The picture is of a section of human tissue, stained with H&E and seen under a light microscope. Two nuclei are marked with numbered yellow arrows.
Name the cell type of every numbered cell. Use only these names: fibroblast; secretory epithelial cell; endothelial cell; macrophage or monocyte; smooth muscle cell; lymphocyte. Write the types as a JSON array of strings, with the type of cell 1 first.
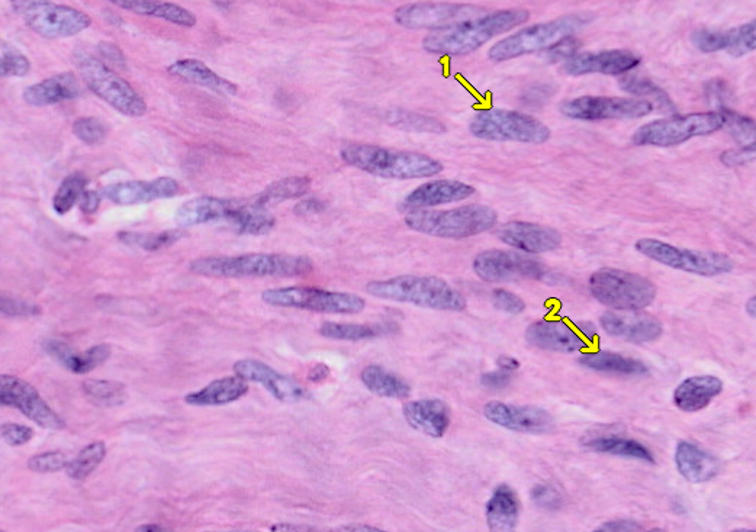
["smooth muscle cell", "fibroblast"]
